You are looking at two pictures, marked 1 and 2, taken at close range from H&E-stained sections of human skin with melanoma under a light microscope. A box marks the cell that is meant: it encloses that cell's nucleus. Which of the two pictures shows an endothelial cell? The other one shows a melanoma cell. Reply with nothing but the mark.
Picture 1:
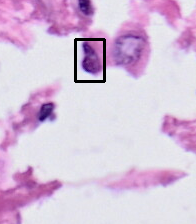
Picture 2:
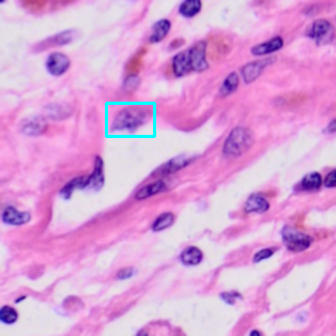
2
